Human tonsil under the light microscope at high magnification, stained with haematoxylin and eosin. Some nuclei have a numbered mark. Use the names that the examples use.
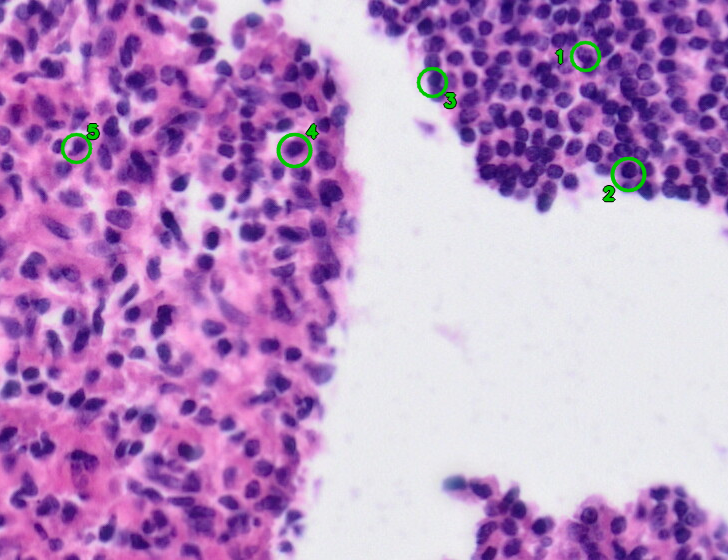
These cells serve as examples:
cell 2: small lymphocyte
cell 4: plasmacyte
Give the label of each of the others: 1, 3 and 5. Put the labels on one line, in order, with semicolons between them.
small lymphocyte; small lymphocyte; plasmacyte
